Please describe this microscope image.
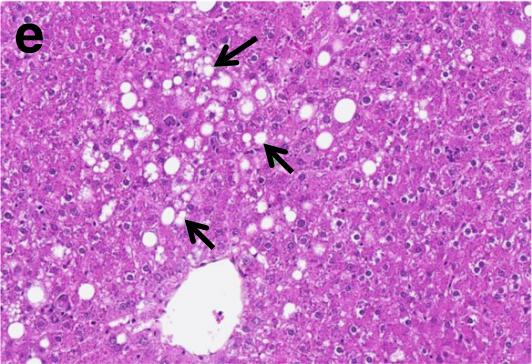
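Liver parenchyma in which hepatocytes show vacuolization of the cytoplasm. Polygonal hepatocytes with pink cytoplasm and round purple nuclei form plates around a large open vessel. In an area near the vessel many hepatocytes contain round, sharply bordered clear spaces that appear empty; some are small and several lie in one cell, others are large and single.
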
